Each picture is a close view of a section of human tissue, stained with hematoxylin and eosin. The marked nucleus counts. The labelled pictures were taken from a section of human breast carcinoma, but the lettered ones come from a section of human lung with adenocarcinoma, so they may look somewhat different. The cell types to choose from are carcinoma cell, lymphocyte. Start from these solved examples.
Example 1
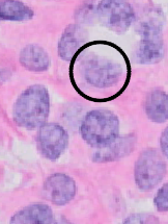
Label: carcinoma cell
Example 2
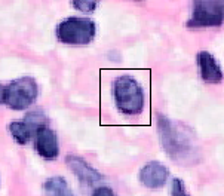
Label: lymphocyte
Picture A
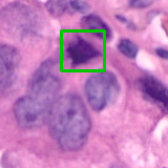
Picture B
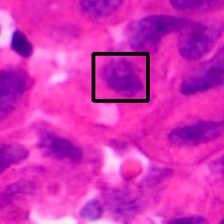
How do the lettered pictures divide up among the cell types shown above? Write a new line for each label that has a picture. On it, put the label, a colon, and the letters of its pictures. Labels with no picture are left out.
carcinoma cell: A, B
